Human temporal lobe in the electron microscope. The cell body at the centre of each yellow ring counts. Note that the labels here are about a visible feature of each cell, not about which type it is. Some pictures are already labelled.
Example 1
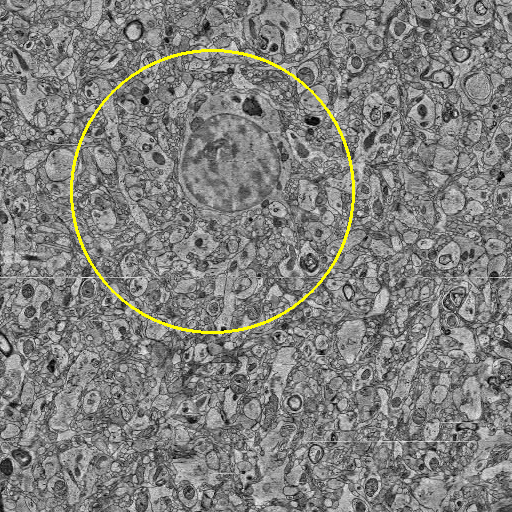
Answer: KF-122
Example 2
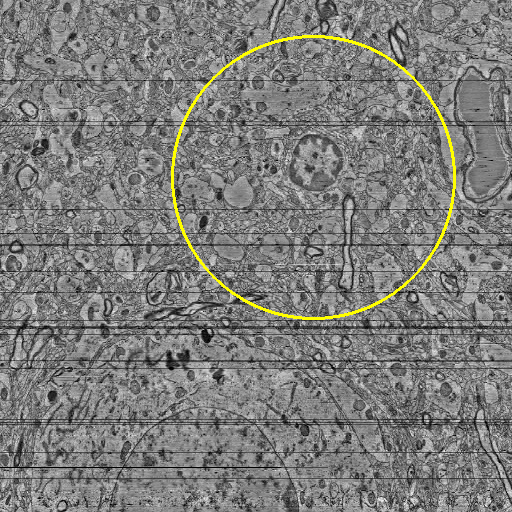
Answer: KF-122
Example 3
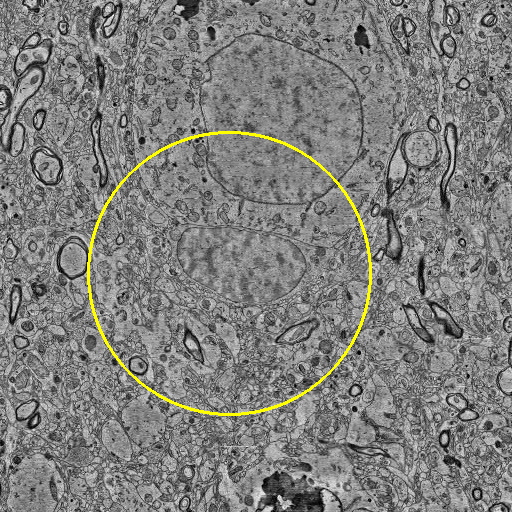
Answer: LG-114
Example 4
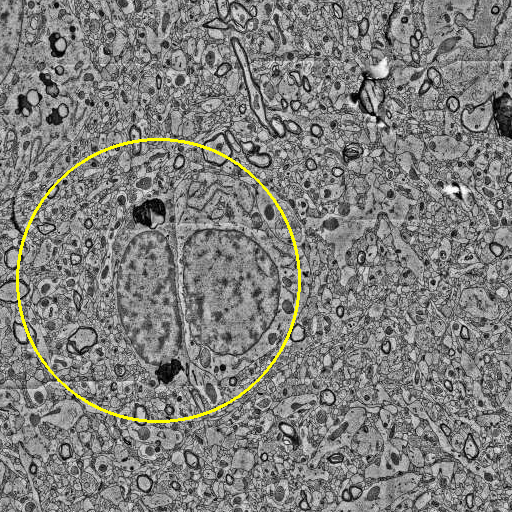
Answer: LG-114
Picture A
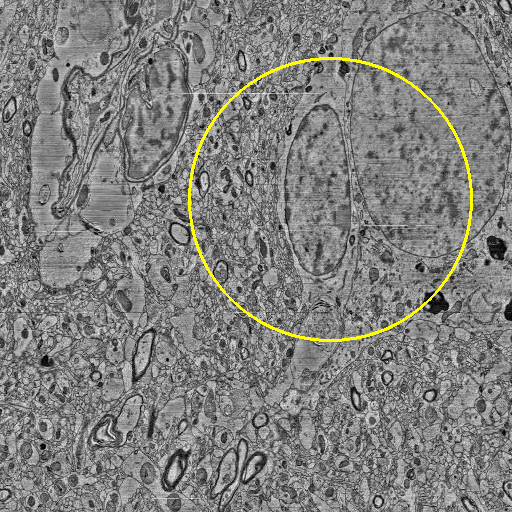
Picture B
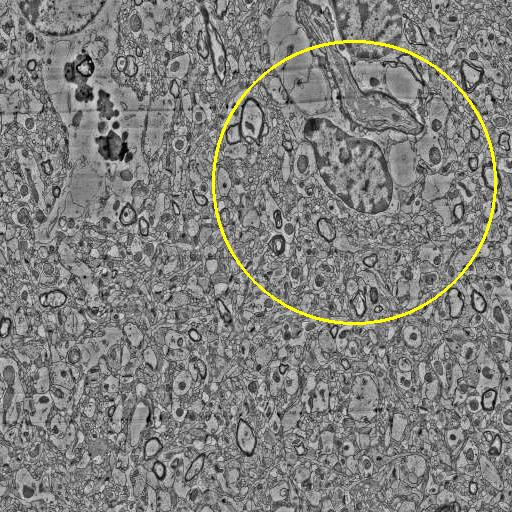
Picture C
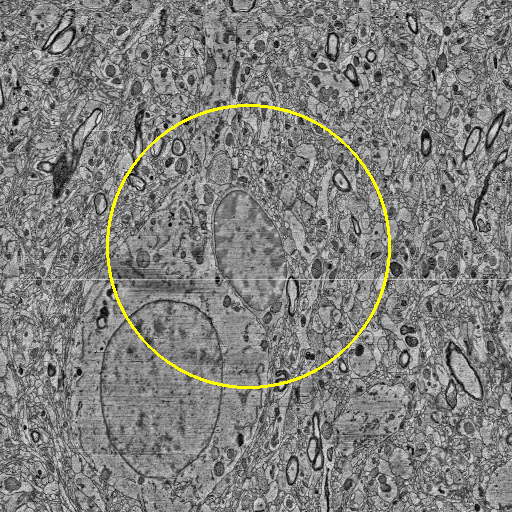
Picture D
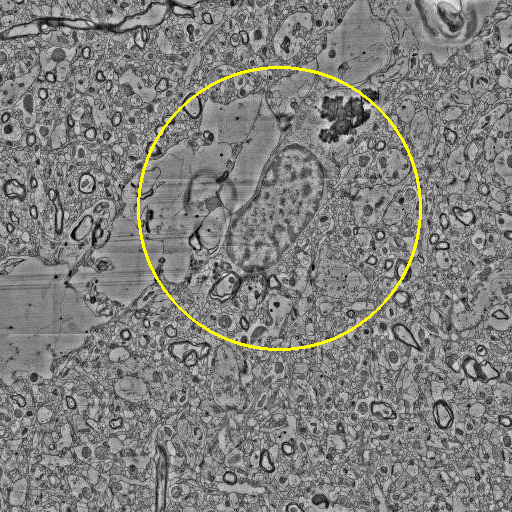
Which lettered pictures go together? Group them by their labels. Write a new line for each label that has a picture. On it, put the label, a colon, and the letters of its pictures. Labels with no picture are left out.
LG-114: A, B, C, D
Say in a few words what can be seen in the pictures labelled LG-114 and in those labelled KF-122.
LG-114, clearly elongated nuclei; KF-122, round or nearly round nuclei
